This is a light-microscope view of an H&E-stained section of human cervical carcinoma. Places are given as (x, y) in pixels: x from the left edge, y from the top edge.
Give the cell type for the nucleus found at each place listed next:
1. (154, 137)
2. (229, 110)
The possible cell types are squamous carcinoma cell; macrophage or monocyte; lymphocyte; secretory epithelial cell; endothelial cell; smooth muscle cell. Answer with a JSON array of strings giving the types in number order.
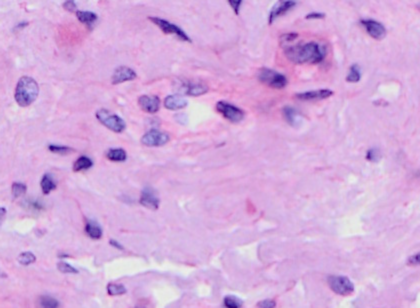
["smooth muscle cell", "endothelial cell"]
